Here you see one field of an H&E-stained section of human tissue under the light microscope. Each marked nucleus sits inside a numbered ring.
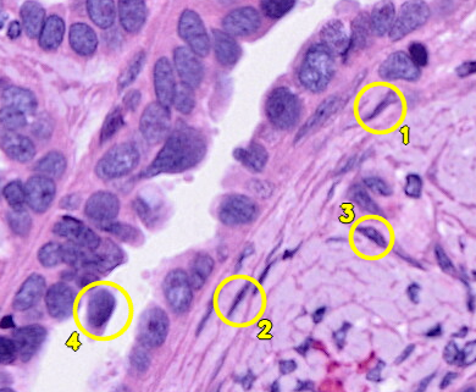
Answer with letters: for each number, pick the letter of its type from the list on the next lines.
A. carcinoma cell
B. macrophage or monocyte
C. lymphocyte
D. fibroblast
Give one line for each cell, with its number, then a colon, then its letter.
1: D
2: D
3: D
4: A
